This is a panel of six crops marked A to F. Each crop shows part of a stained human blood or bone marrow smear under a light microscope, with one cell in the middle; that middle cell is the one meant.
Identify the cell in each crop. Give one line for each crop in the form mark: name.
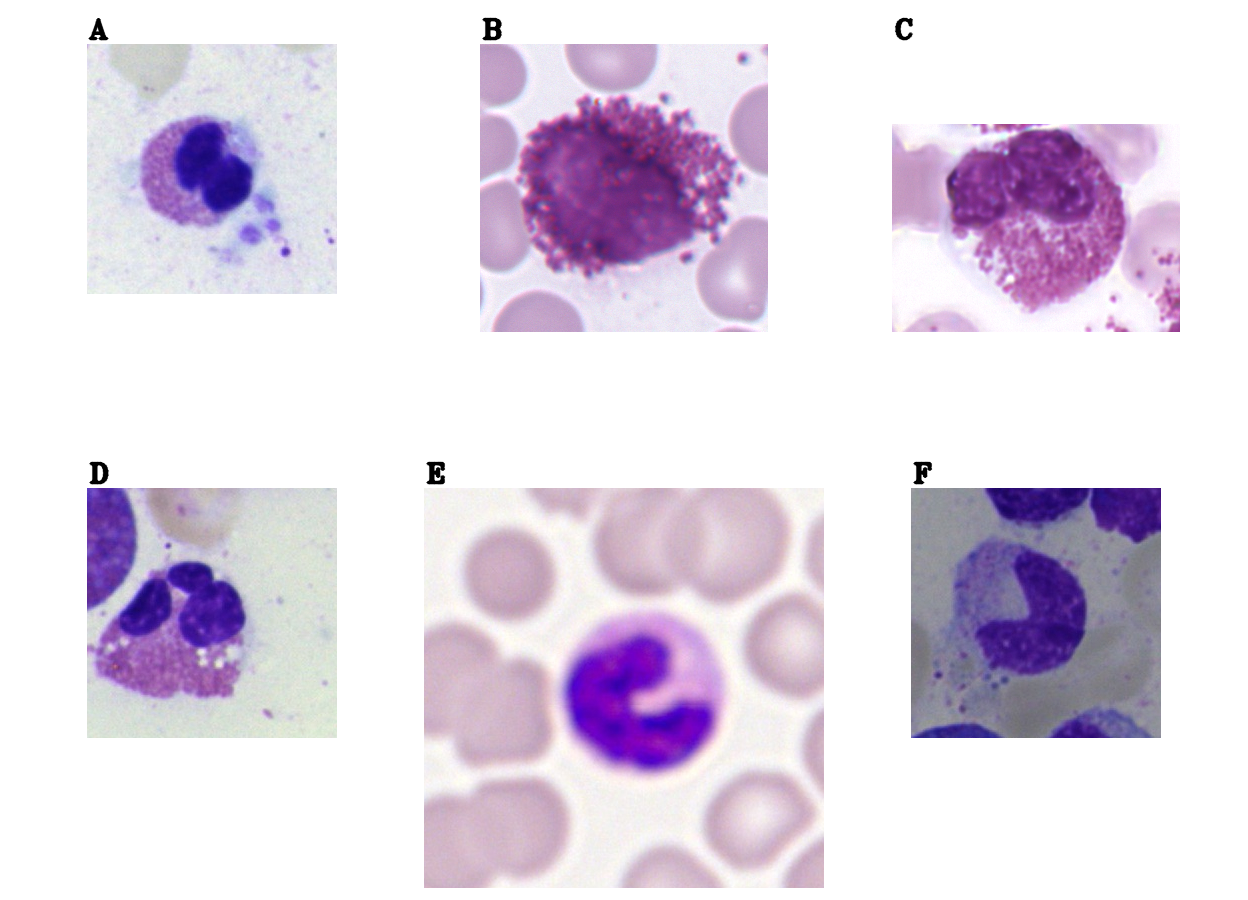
A: eosinophil
B: eosinophil
C: eosinophil
D: eosinophil
E: band neutrophil
F: band neutrophil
